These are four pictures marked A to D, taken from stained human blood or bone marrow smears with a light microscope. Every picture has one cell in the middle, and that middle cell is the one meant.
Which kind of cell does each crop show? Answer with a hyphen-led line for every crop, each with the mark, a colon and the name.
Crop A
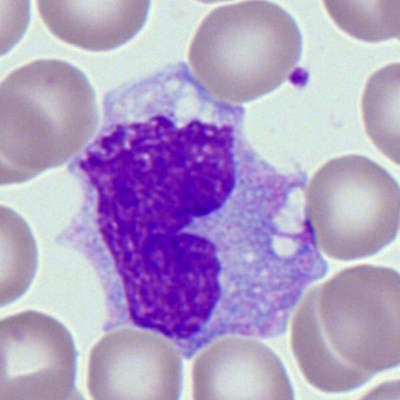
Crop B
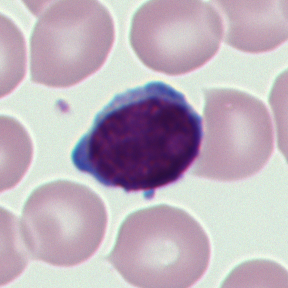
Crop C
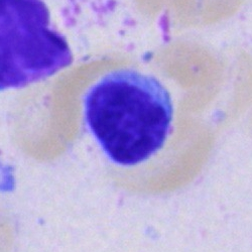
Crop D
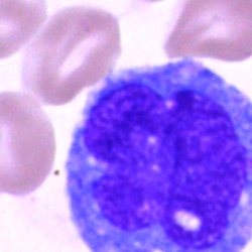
- A: monocyte
- B: lymphocyte
- C: lymphocyte
- D: monocyte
